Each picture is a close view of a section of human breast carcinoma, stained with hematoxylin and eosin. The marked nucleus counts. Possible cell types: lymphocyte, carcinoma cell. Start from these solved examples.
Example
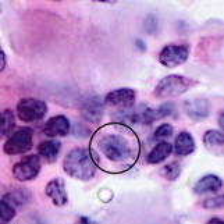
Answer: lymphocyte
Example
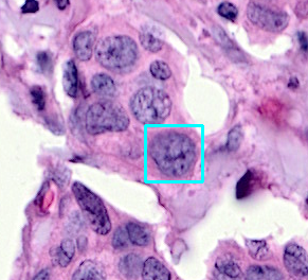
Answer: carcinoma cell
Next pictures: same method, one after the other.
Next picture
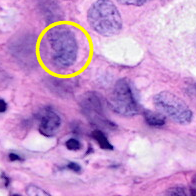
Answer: carcinoma cell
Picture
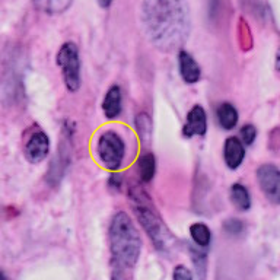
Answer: lymphocyte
